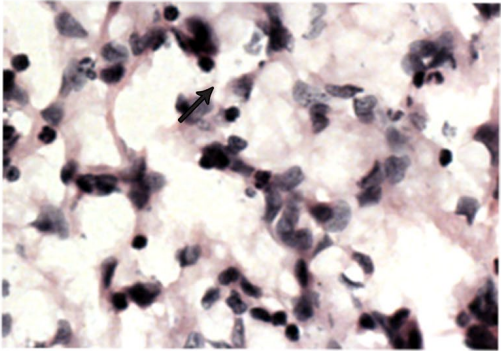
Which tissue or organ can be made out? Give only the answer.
Lung.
